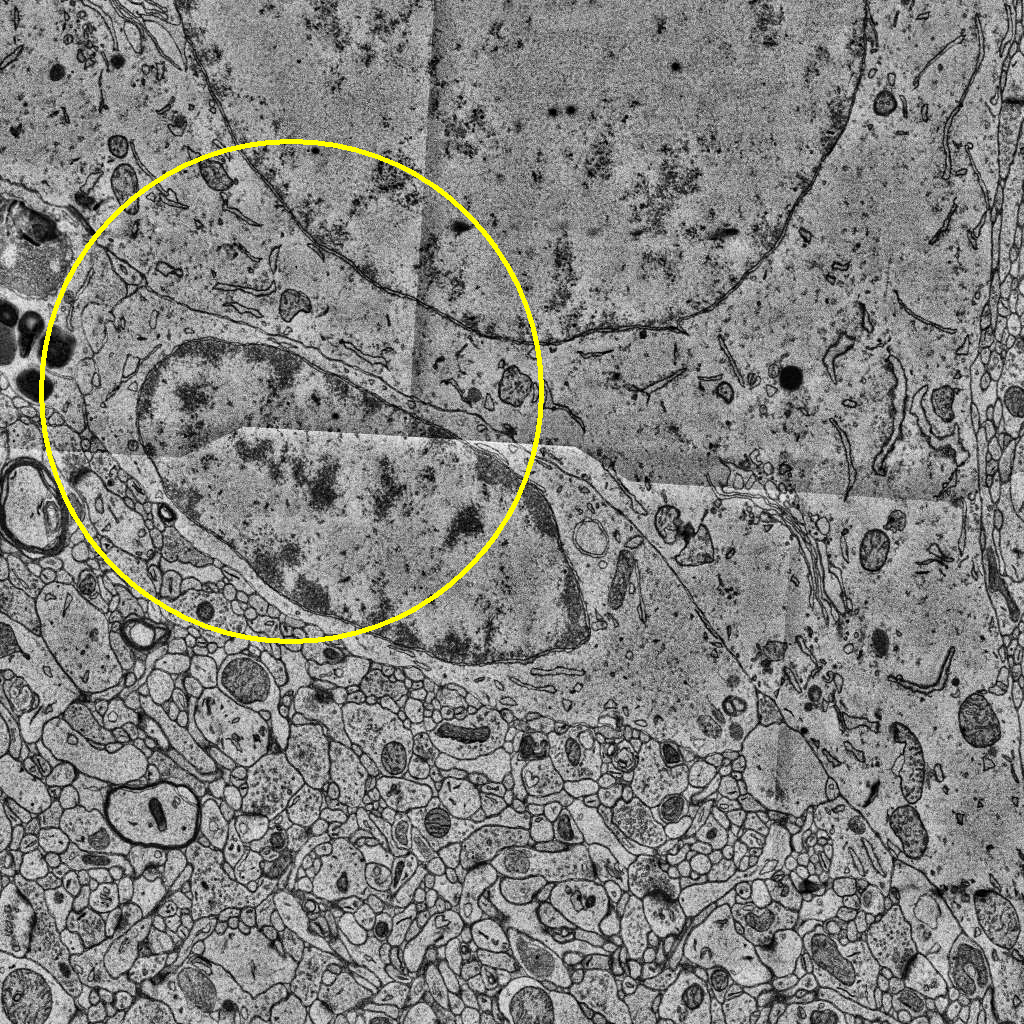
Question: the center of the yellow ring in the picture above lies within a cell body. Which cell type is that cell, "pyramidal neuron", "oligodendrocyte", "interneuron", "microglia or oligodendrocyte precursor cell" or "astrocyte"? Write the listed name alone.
microglia or oligodendrocyte precursor cell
